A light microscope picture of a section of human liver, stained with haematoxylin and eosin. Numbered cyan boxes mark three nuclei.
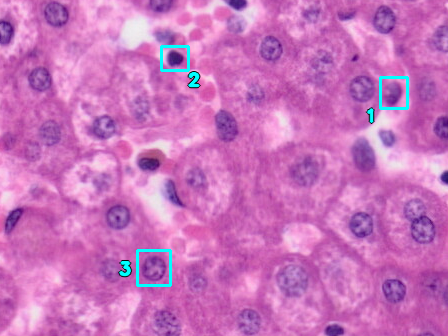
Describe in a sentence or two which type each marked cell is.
Cell 1 is a Kupffer cell. Cell 2 is a lymphocyte. Cell 3 is a hepatocyte.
